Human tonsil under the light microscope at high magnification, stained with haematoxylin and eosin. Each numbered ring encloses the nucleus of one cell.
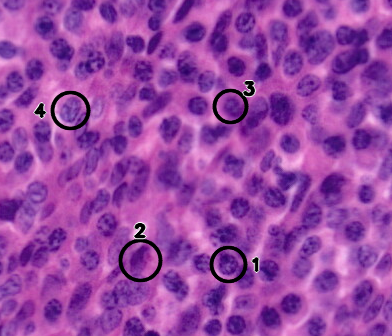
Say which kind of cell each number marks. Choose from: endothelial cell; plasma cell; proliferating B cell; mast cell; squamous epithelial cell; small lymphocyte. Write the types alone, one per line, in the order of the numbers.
plasma cell
squamous epithelial cell
plasma cell
plasma cell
